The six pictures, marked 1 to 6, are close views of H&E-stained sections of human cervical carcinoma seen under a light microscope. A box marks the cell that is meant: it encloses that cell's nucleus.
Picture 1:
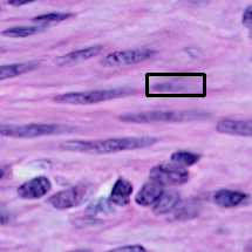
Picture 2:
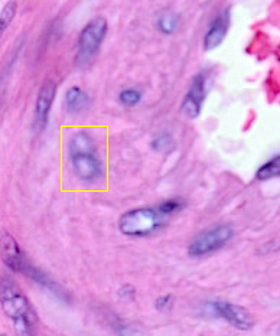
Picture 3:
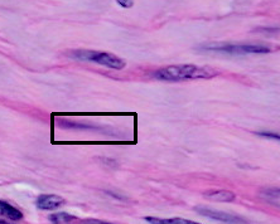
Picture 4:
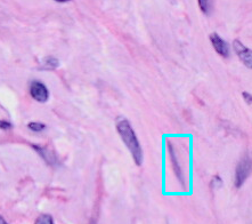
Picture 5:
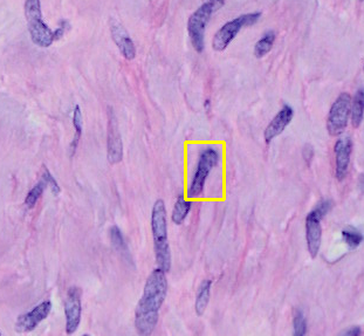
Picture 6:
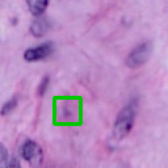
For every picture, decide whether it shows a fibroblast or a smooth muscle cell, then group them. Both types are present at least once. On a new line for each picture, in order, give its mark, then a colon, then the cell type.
1: smooth muscle cell
2: smooth muscle cell
3: smooth muscle cell
4: fibroblast
5: fibroblast
6: smooth muscle cell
